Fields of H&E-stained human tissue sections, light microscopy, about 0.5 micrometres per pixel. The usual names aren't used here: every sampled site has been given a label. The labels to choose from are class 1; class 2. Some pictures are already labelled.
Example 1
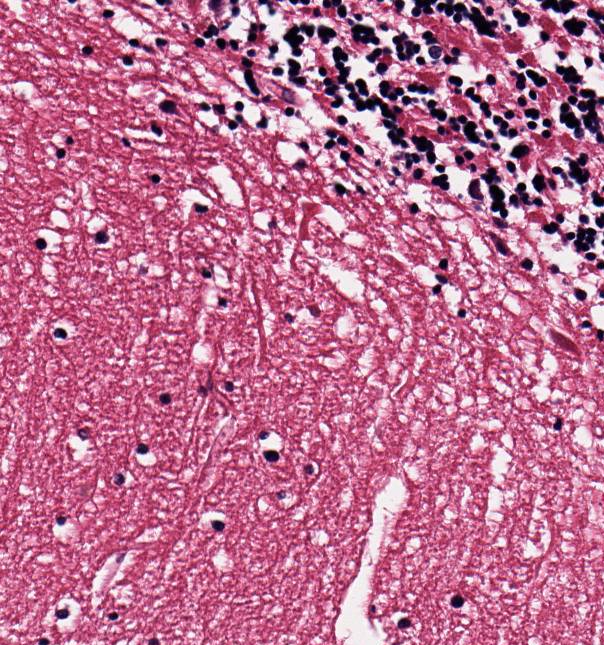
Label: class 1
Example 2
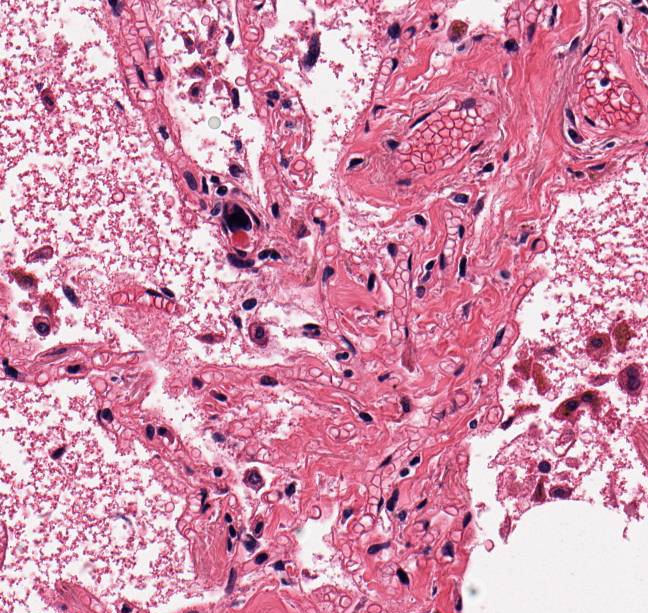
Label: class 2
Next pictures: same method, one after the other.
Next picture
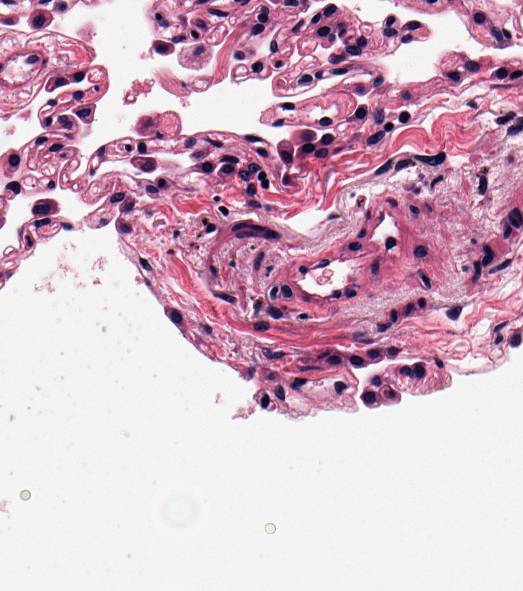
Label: class 2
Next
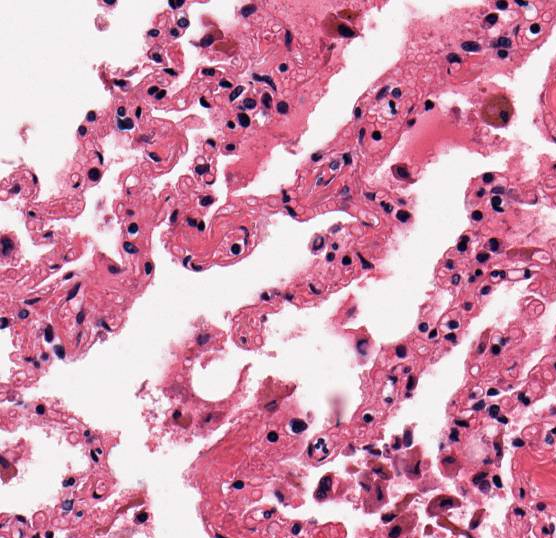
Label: class 2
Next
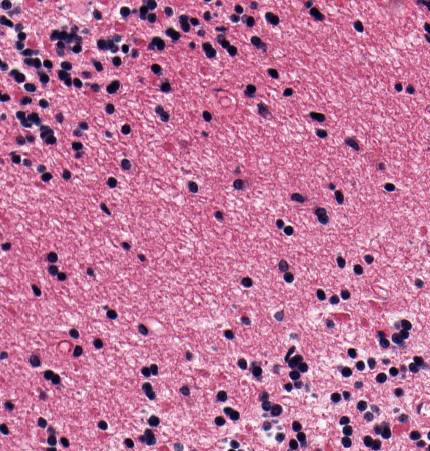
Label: class 1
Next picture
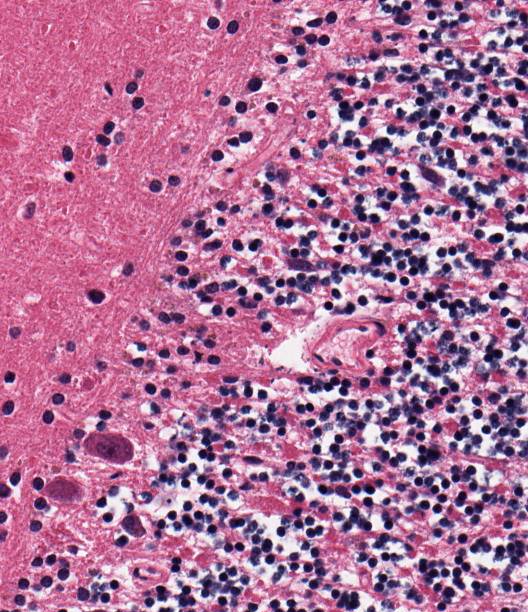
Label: class 1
